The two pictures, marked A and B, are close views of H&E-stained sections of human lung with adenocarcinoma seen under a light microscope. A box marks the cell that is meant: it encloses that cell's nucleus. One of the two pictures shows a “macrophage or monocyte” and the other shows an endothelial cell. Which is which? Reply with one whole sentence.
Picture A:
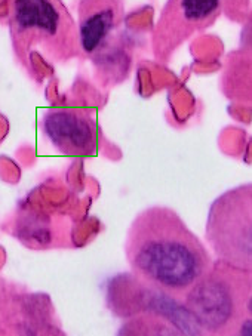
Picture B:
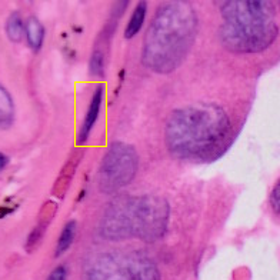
Picture A shows a “macrophage or monocyte” and picture B shows an endothelial cell.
